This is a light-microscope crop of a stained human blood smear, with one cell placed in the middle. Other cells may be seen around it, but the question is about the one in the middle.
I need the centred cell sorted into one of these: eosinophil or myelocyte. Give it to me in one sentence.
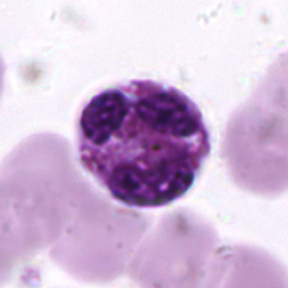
Here the centrally located cell is an eosinophil.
